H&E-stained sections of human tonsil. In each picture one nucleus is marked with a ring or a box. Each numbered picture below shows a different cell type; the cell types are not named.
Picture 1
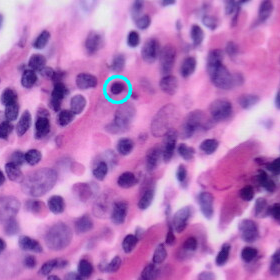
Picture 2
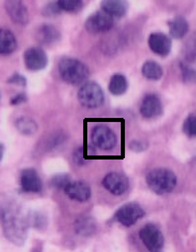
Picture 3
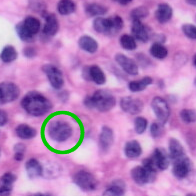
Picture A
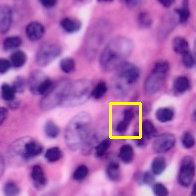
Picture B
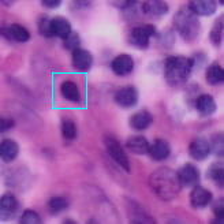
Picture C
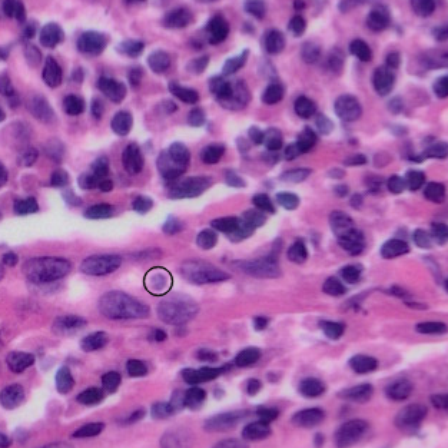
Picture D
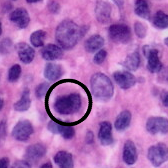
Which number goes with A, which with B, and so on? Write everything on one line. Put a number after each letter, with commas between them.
A 1, B 1, C 1, D 3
